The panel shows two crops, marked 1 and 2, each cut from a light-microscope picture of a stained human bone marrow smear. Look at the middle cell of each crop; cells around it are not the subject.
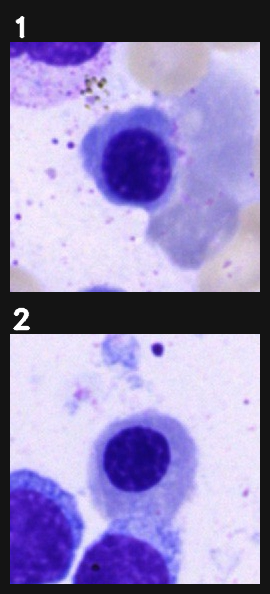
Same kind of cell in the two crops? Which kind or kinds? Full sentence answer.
Yes, both crops show normoblasts as the central cells.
